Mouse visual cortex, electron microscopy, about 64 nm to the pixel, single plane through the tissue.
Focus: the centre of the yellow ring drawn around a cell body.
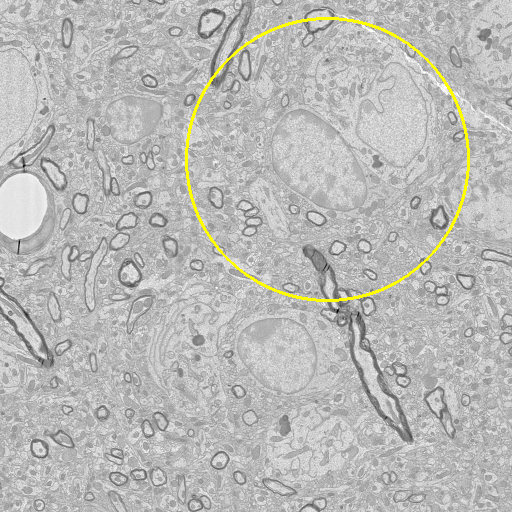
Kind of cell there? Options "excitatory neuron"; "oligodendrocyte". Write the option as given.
oligodendrocyte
